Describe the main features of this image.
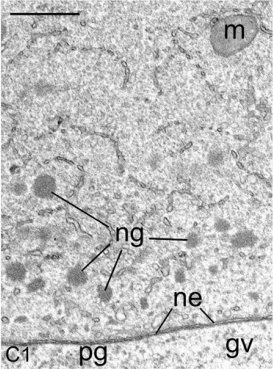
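This electron micrograph shows the ooplasm of an oocyte lying just above the germinal vesicle, whose nuclear envelope runs as a double line across the bottom. Rounded, moderately electron-dense nuage aggregations without a membrane lie scattered in the cytoplasm near the nucleus, and a mitochondrion with inner membranes is seen toward the top.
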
